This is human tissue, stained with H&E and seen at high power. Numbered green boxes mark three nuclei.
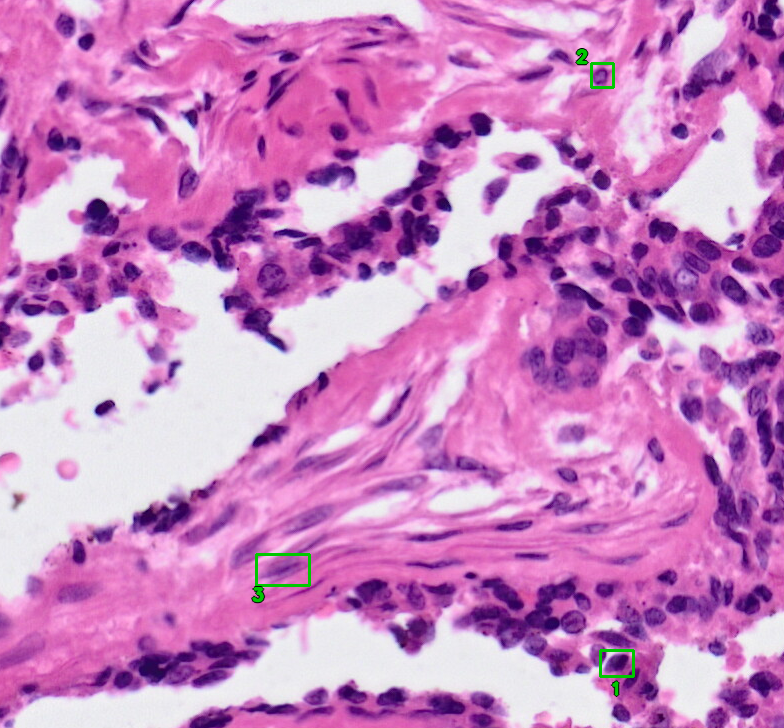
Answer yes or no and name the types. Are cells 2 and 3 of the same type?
Yes, the cell marked 2 and the cell marked 3 are both fibroblasts.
